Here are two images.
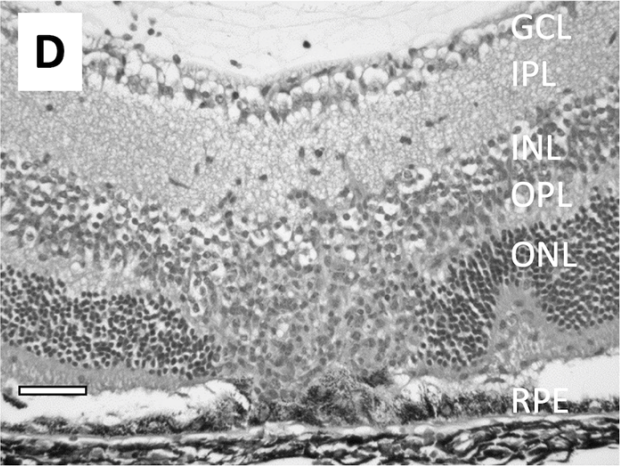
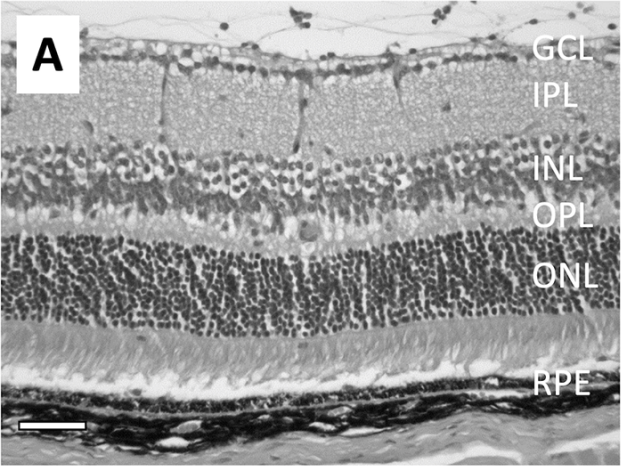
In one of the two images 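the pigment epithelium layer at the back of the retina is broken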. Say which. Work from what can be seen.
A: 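The first image. First image: the dark pigmented band at the back is interrupted and replaced by irregular pigment clumps merging with the outer retina. Second image: the dark pigmented band at the back runs as a continuous line beneath a regular pale layer of photoreceptor segments.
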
